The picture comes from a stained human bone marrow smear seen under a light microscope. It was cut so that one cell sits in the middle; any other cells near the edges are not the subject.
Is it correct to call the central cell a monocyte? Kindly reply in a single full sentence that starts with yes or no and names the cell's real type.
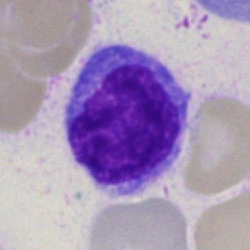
Yes, the cell in the center of this crop is a monocyte.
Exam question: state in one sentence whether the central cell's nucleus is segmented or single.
In this cell the nucleus is a solitary compact mass, round, oval or kidney-shaped.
